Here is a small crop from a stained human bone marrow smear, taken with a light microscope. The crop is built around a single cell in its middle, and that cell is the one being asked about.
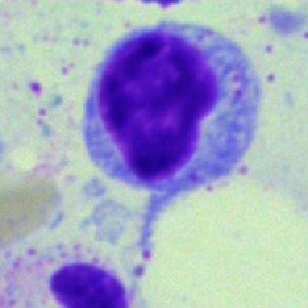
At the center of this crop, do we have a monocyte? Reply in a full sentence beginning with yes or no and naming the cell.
No, this is not a monocyte at all; the cell in the middle is a lymphocyte.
